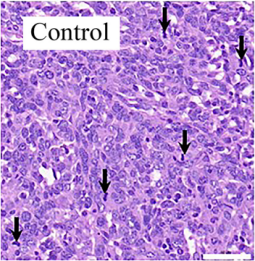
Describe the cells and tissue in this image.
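This is a section of tumor tissue in which densely packed tumor cells show several mitotic figures. The cells lie in crowded sheets and loose cords with little intervening stroma. Their nuclei are large, oval to irregular and purple-stained, with coarse chromatin, and they vary in size. The cytoplasm is pale pink and poorly demarcated. Scattered cells have dark, condensed chromatin clumps typical of dividing cells.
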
